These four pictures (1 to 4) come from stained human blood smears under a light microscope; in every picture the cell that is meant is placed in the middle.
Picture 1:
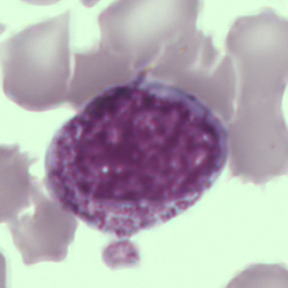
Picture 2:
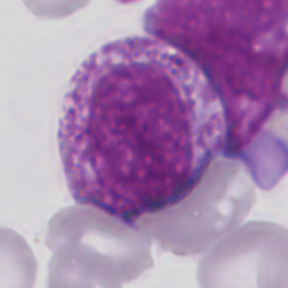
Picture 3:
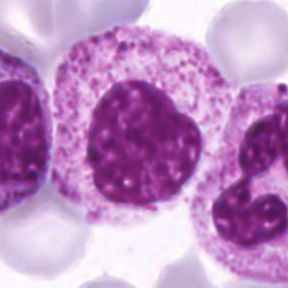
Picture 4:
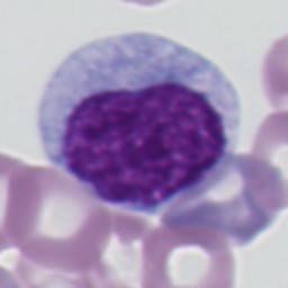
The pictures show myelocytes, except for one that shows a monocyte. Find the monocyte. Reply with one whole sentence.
The monocyte is the one in picture 4.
